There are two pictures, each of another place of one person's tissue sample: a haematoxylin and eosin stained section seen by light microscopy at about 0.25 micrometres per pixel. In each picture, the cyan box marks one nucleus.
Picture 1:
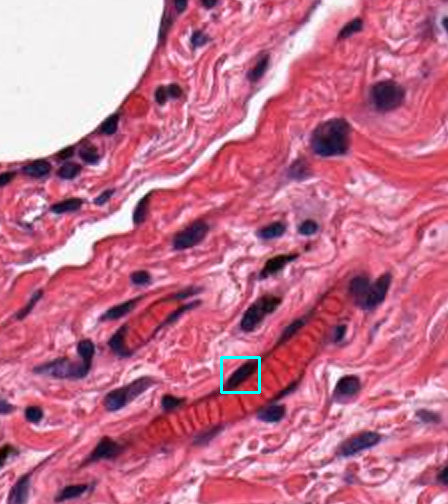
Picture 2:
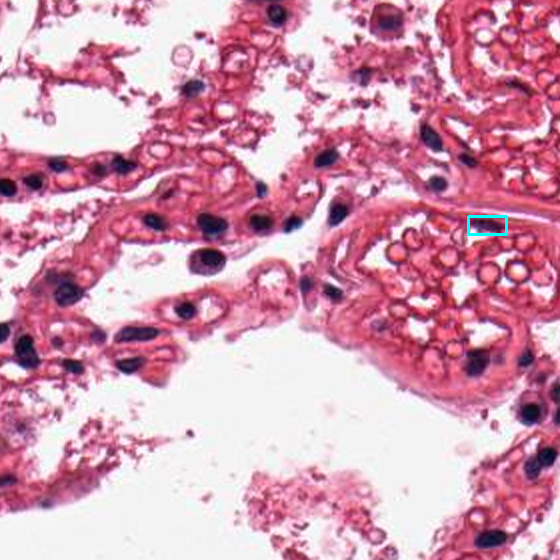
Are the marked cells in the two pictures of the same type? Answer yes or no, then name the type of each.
Yes, both are endothelial cells.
